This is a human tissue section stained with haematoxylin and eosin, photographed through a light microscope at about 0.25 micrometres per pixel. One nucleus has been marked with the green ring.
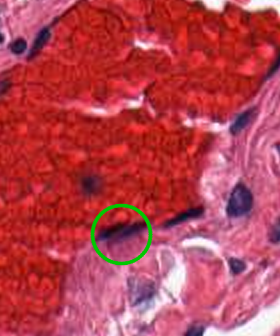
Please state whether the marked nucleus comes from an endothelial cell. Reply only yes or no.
yes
